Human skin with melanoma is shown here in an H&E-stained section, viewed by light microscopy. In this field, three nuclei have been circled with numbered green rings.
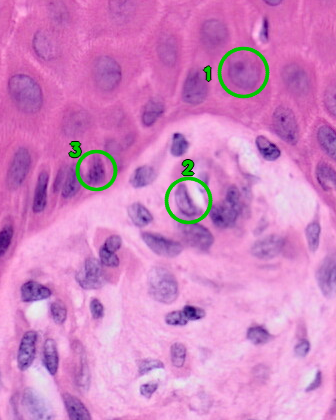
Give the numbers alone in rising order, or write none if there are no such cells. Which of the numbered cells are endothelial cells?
2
